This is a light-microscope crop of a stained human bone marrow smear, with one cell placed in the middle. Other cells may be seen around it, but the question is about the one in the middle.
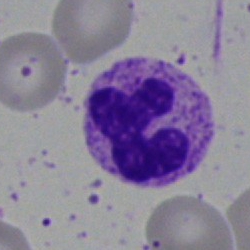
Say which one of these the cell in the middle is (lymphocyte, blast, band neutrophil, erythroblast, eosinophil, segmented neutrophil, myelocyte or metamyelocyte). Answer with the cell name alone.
segmented neutrophil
